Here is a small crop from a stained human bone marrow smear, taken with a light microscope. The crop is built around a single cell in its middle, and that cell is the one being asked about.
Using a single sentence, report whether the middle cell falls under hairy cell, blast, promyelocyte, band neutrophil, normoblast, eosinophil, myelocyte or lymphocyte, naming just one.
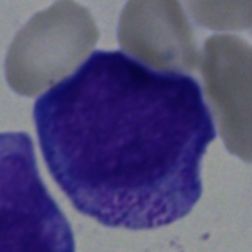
The cell of interest, located centrally, is a blast.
